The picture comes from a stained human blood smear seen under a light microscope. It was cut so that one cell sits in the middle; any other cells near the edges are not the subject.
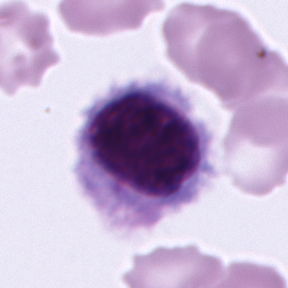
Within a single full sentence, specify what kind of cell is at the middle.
The central cell in this smear crop is a hairy cell.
